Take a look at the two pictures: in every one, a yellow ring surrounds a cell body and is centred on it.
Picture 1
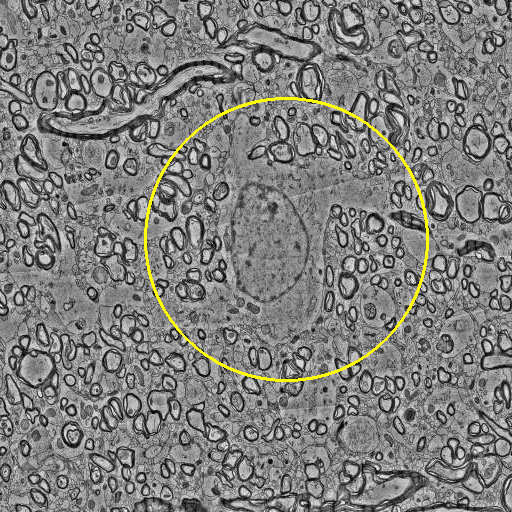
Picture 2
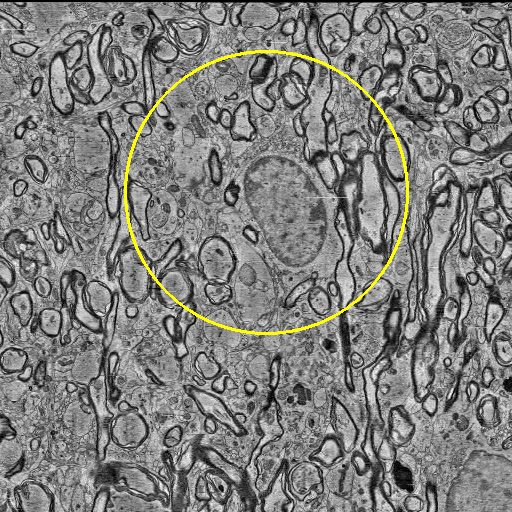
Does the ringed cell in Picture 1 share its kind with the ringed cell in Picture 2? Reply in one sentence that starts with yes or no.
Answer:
Yes, the two centred cells, one per picture, are of one kind.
